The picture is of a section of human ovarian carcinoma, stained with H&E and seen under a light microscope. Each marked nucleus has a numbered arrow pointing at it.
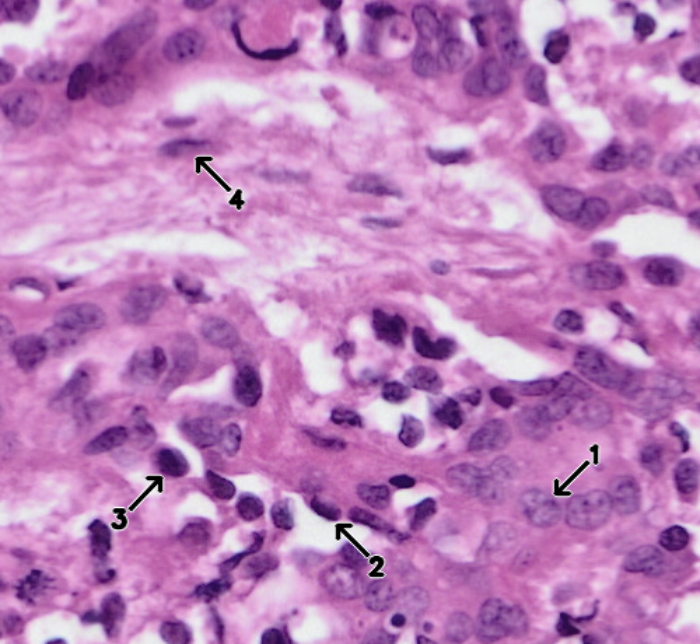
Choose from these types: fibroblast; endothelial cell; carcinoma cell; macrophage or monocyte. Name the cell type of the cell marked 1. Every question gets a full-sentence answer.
It is as a carcinoma cell that the cell numbered 1 is identified.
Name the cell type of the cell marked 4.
The cell referenced by the number 4 is a fibroblast in this field.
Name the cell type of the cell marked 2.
Cell 2 in the field is a carcinoma cell.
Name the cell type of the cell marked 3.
The cell given label 3 is a carcinoma cell.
